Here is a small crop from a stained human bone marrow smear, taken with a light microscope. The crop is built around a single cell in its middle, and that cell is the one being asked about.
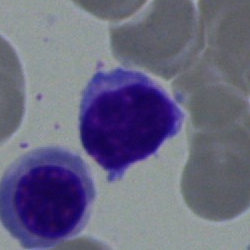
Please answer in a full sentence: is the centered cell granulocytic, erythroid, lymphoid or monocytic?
The cell at the middle of the crop is designated as lymphoid in lineage.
